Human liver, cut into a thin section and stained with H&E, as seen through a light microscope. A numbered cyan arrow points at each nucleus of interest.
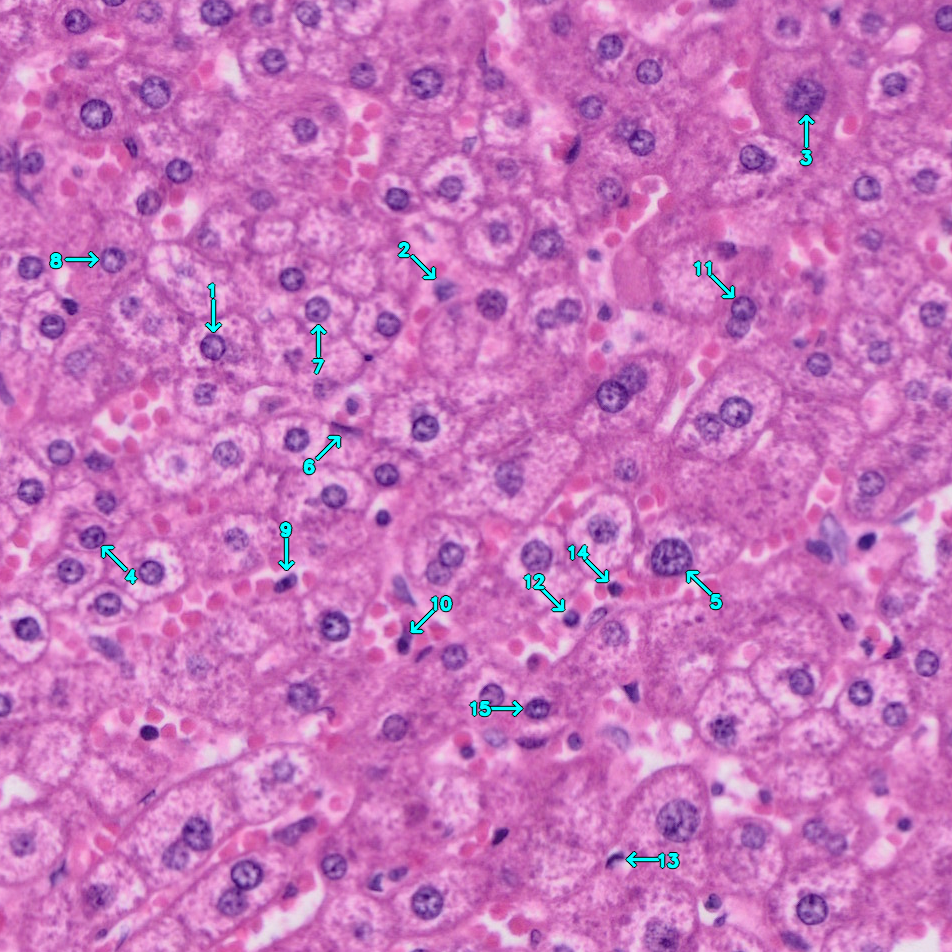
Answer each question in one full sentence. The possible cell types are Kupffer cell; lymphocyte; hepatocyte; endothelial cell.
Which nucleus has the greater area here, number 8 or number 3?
The larger nucleus is 3, at roughly 2 times the area of 8.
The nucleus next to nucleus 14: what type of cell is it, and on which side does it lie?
A Kupffer cell lies closest, below and to the left of nucleus 14.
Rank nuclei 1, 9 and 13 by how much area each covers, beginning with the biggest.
Largest first, the order by area is 1, 9, 13.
